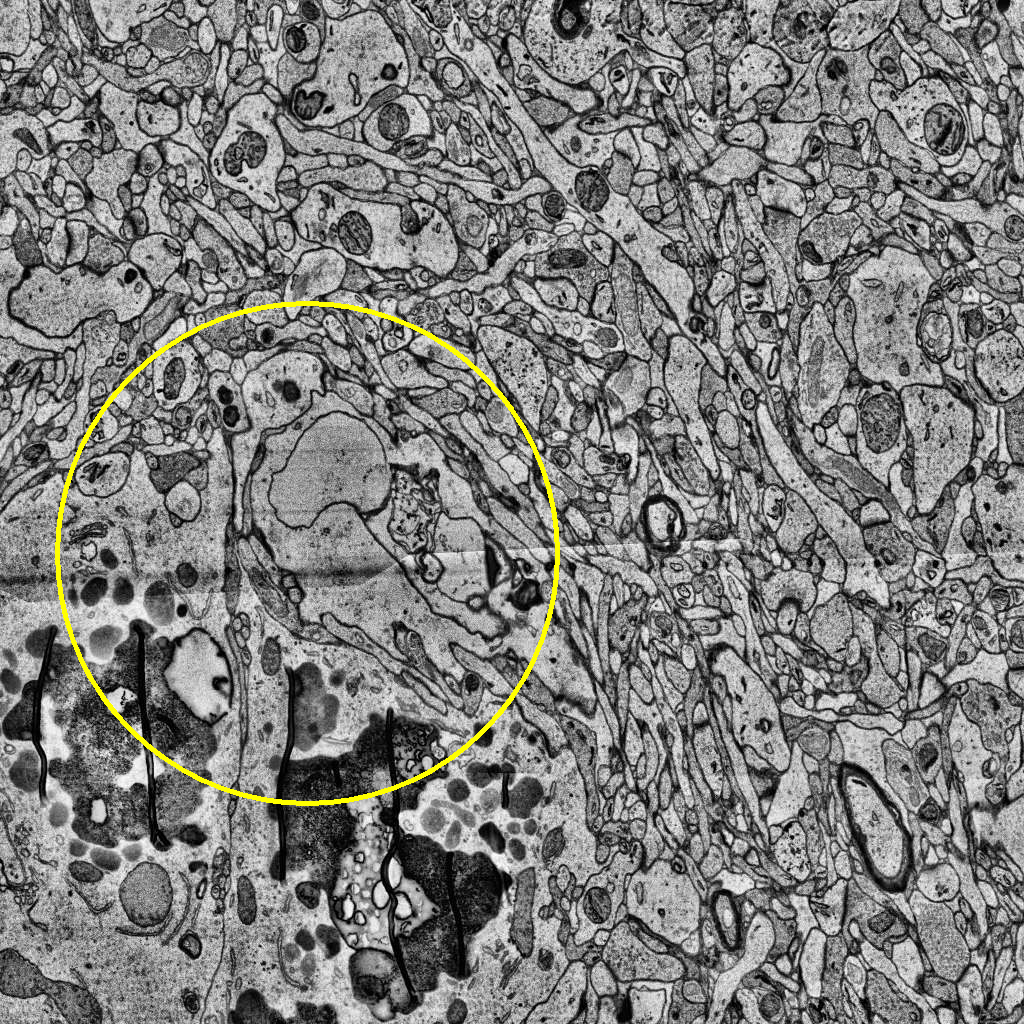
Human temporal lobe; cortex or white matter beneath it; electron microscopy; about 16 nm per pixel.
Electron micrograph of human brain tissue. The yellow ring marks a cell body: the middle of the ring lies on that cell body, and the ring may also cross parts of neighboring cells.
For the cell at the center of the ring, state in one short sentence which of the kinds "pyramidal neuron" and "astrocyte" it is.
This ring's center lies on an astrocyte.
